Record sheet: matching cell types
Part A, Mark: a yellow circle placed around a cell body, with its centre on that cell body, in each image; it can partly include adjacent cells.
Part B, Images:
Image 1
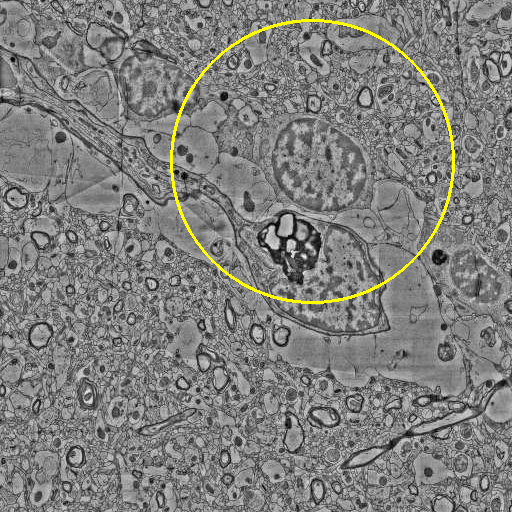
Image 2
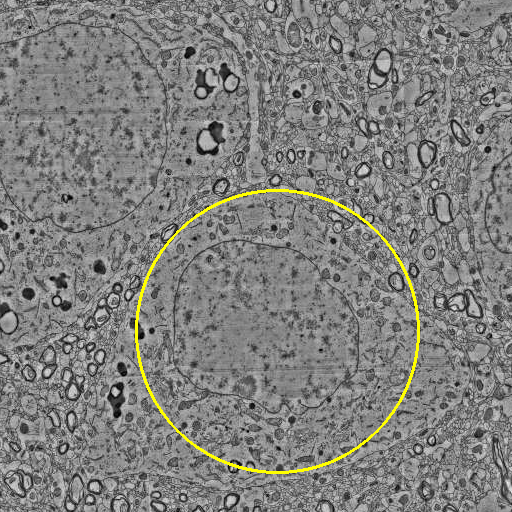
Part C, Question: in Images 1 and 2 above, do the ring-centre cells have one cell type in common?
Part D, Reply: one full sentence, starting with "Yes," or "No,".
No, the ring-centre cells of Image 1 and Image 2 are each of a separate cell type.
